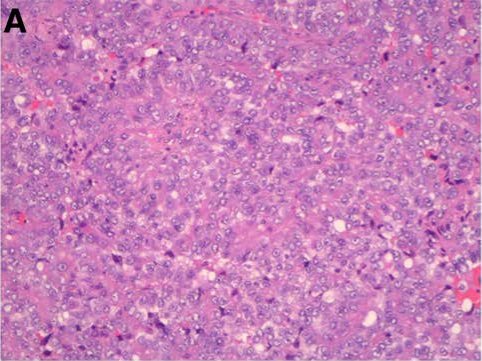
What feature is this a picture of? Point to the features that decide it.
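The cells form continuous sheets without glands or papillae. Little stroma separates the cells.
Solid.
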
